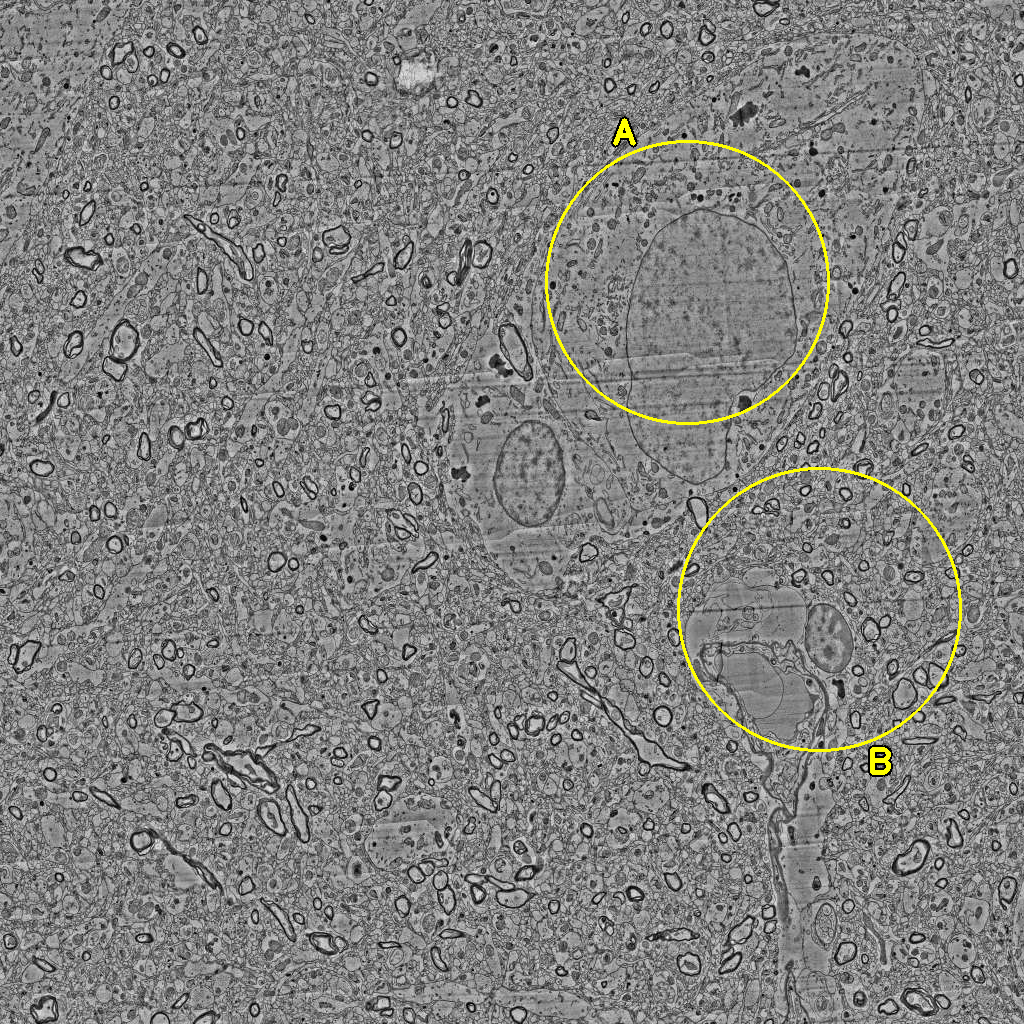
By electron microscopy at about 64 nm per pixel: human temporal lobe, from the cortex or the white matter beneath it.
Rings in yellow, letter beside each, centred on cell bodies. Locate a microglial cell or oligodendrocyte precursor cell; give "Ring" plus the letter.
Ring B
